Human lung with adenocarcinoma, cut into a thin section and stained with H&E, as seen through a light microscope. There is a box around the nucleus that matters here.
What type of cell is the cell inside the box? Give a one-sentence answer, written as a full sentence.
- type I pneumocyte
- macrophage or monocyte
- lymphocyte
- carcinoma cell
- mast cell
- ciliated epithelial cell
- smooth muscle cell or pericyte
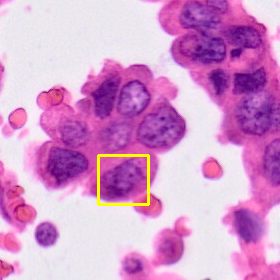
In the context of this tissue, the cell inside the box is a carcinoma cell.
